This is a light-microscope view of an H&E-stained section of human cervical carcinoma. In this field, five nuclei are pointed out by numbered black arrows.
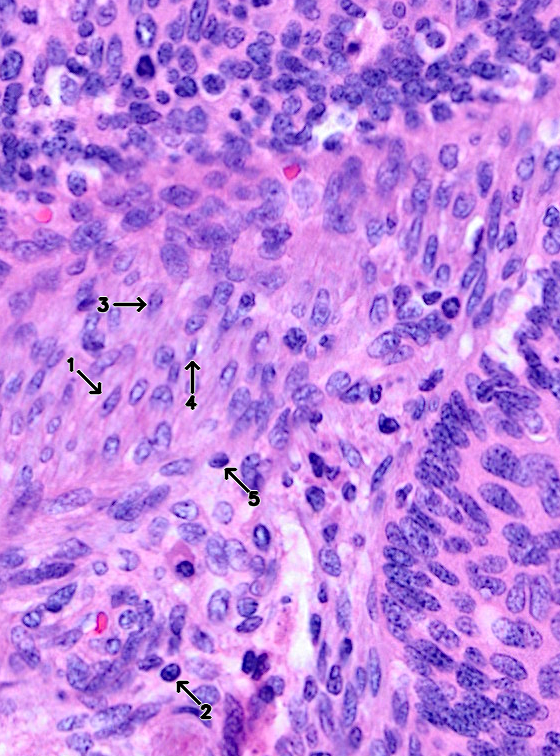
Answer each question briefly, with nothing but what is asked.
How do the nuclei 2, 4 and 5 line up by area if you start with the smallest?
4, 5, 2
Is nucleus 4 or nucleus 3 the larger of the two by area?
3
